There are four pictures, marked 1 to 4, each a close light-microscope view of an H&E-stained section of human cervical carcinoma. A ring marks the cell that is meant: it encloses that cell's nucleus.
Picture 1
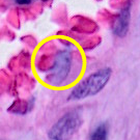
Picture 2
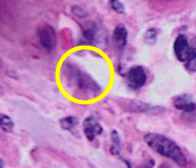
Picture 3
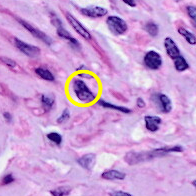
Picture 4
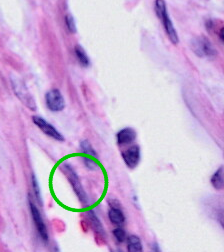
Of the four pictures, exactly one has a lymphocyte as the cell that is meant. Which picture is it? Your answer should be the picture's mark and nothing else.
3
